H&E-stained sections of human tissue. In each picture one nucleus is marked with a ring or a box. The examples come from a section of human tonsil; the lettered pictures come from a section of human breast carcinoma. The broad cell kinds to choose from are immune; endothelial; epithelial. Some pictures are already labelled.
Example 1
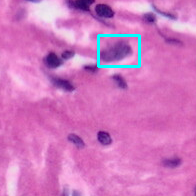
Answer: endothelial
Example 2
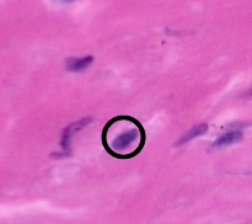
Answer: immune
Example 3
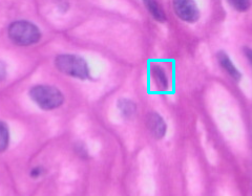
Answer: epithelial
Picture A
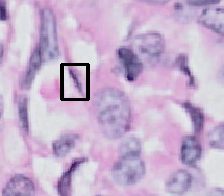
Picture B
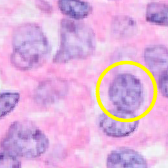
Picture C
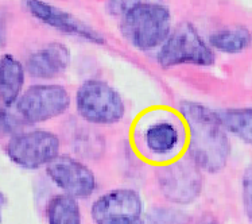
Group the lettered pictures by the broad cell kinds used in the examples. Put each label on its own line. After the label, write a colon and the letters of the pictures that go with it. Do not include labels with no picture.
immune: C
endothelial: A
epithelial: B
